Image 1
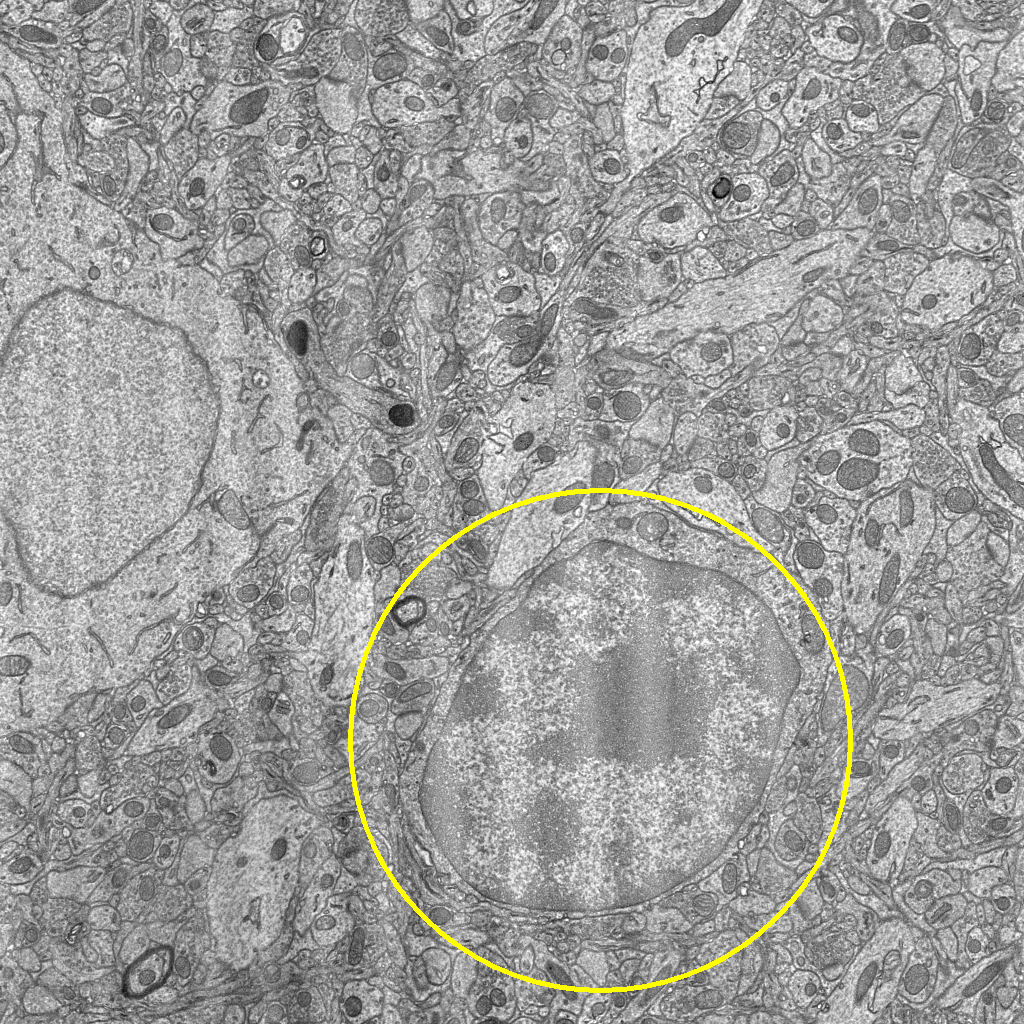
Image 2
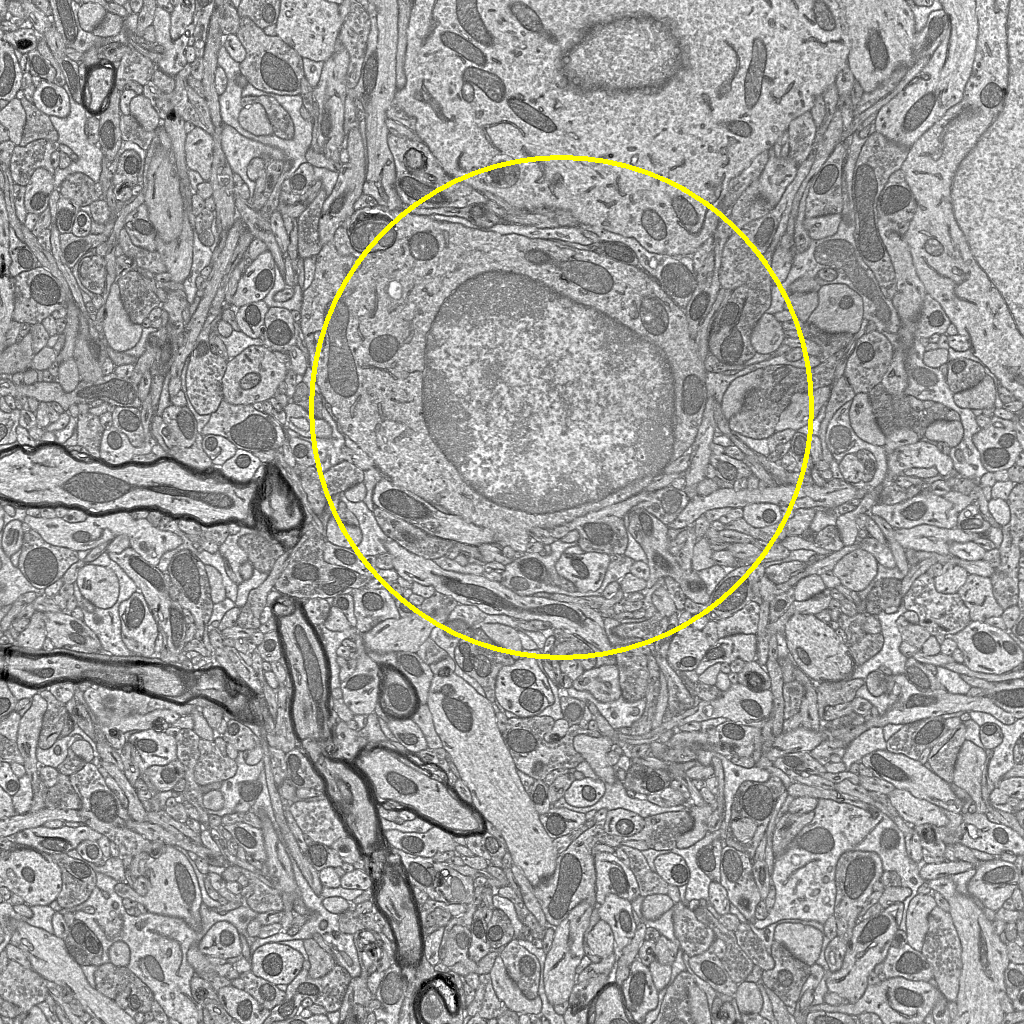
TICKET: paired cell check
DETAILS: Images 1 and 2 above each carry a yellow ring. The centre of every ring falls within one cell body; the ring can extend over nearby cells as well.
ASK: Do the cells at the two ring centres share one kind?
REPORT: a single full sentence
Yes, the cells at the ring centres of Images 1 and 2 belong to a single kind.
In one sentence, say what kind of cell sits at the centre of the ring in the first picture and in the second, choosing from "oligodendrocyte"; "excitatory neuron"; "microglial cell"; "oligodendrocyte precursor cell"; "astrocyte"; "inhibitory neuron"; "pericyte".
The cell at the ring centre is an oligodendrocyte in both pictures.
